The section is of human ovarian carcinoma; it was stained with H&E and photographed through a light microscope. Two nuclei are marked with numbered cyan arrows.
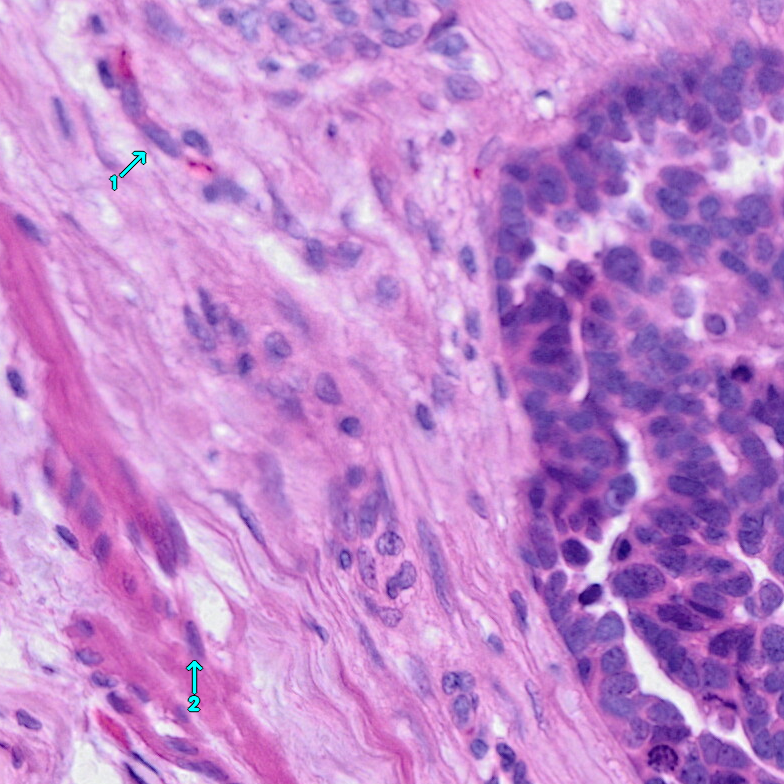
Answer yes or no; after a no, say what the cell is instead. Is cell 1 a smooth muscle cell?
No, it is an endothelial cell.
